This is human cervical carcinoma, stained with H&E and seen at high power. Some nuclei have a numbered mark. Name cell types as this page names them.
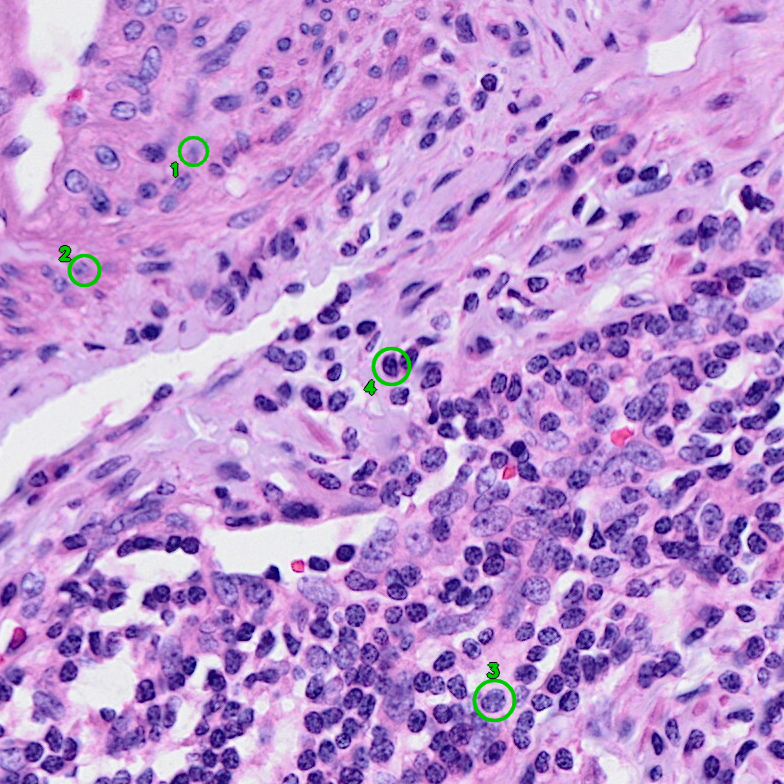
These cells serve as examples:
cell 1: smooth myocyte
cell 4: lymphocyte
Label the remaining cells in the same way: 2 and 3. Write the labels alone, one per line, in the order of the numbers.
smooth myocyte
lymphocyte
